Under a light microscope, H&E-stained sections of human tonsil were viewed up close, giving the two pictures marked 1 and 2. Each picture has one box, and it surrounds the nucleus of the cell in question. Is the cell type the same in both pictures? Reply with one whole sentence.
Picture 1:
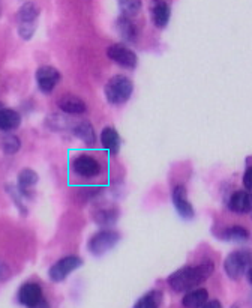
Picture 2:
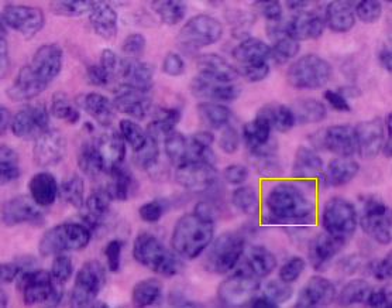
No, they differ: the cell is a plasma cell in picture 1 and a proliferating B cell in picture 2.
